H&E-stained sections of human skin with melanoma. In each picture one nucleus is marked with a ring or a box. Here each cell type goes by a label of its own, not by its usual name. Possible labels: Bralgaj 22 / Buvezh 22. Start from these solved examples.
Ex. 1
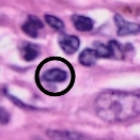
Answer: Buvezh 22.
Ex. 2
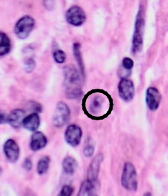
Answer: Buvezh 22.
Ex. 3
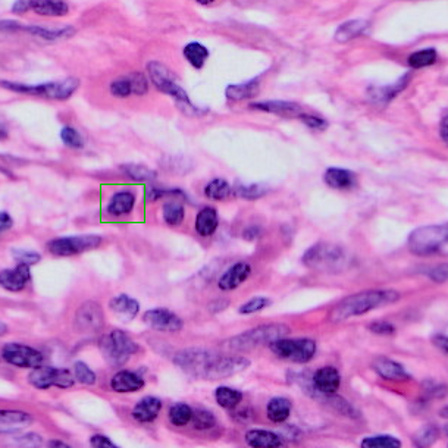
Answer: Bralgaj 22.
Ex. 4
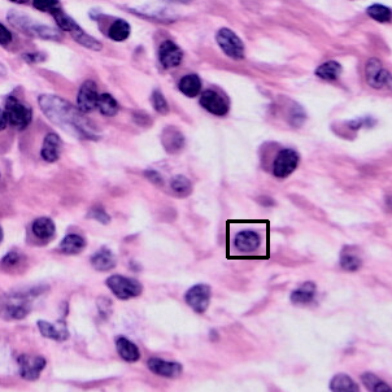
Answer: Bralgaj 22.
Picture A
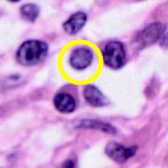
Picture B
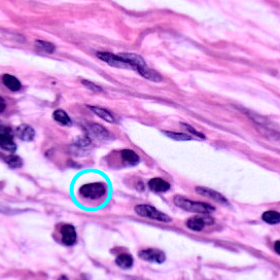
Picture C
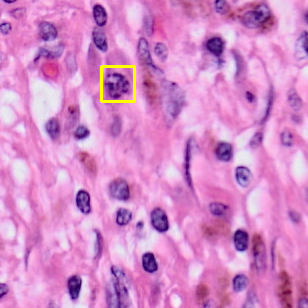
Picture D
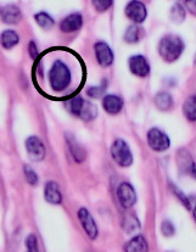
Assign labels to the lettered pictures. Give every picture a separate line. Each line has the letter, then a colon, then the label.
A: Buvezh 22.
B: Bralgaj 22.
C: Bralgaj 22.
D: Buvezh 22.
